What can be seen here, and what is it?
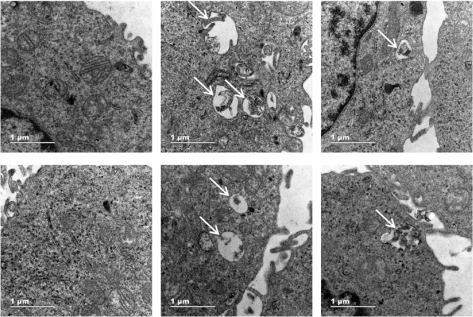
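In some images the cytoplasm is fairly even and granular, with a few mitochondria and a stretch of nuclear envelope visible. In others, rounded membrane-bound vacuoles stand out as pale spaces in the cytoplasm, marked by arrows. Several of these vacuoles hold membranous or dense material inside, which fits autophagosomes. Near the cell edges, the surface forms folds and processes that face pale extracellular space.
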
